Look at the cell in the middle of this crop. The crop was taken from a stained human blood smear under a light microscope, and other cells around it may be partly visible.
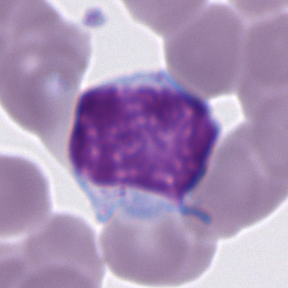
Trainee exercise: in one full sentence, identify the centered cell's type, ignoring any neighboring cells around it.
The central element of this crop is a cell, namely a lymphocyte.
